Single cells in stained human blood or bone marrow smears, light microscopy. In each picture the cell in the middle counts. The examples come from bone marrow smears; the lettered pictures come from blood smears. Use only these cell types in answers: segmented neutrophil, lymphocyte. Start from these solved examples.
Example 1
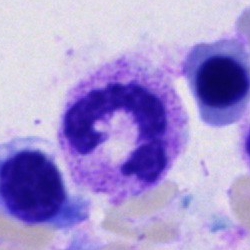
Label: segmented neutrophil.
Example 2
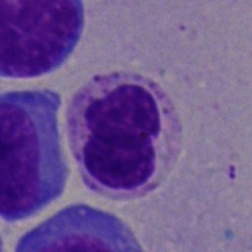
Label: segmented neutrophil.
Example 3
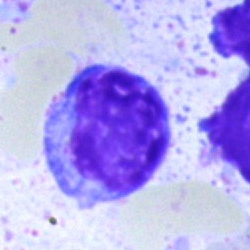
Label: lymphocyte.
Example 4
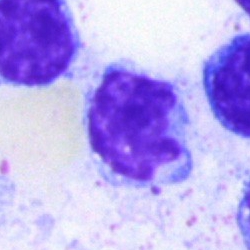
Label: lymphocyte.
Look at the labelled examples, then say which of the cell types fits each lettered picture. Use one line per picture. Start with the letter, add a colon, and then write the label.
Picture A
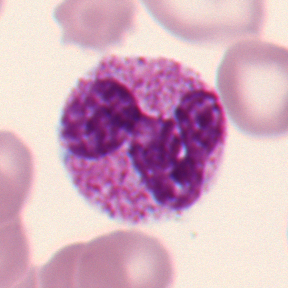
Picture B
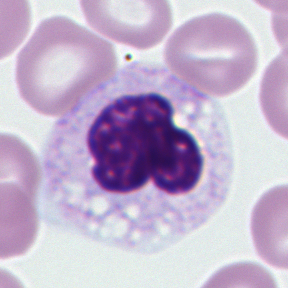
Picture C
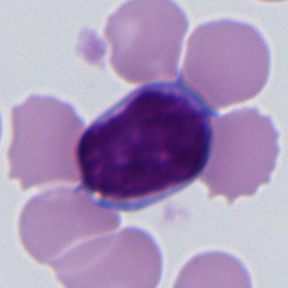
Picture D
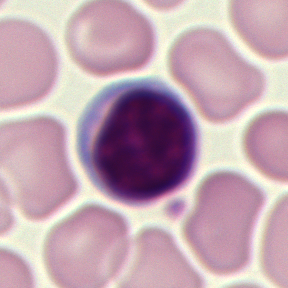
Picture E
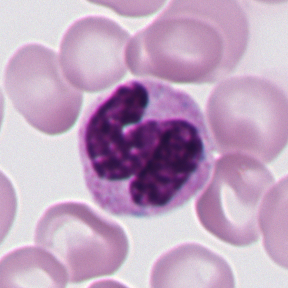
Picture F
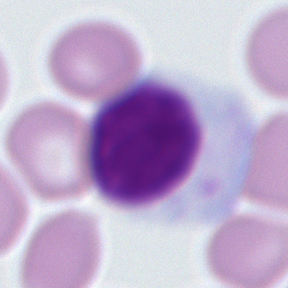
A: segmented neutrophil.
B: segmented neutrophil.
C: lymphocyte.
D: lymphocyte.
E: segmented neutrophil.
F: lymphocyte.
